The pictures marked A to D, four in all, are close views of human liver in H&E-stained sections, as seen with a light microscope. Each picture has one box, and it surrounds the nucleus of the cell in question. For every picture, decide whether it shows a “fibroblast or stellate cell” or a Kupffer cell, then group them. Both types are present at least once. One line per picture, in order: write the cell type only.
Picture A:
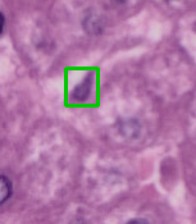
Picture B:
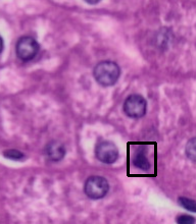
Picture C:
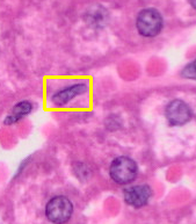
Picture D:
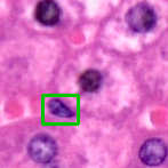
Kupffer cell
fibroblast or stellate cell
fibroblast or stellate cell
fibroblast or stellate cell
